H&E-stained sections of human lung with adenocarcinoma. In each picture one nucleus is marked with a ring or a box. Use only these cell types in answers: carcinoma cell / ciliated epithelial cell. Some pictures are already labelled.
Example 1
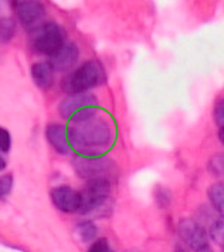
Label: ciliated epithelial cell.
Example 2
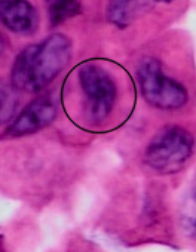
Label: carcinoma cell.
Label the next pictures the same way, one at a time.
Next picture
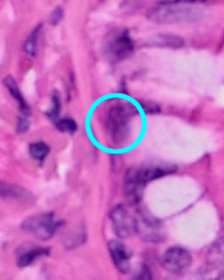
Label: ciliated epithelial cell.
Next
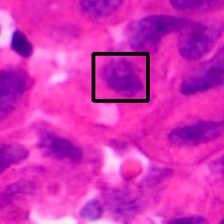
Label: carcinoma cell.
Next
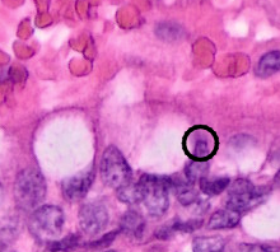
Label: ciliated epithelial cell.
